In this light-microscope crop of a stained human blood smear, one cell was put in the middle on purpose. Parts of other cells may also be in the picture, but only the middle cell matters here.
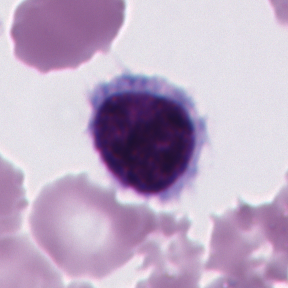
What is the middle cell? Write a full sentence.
The cell of interest, located centrally, is a hairy cell.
